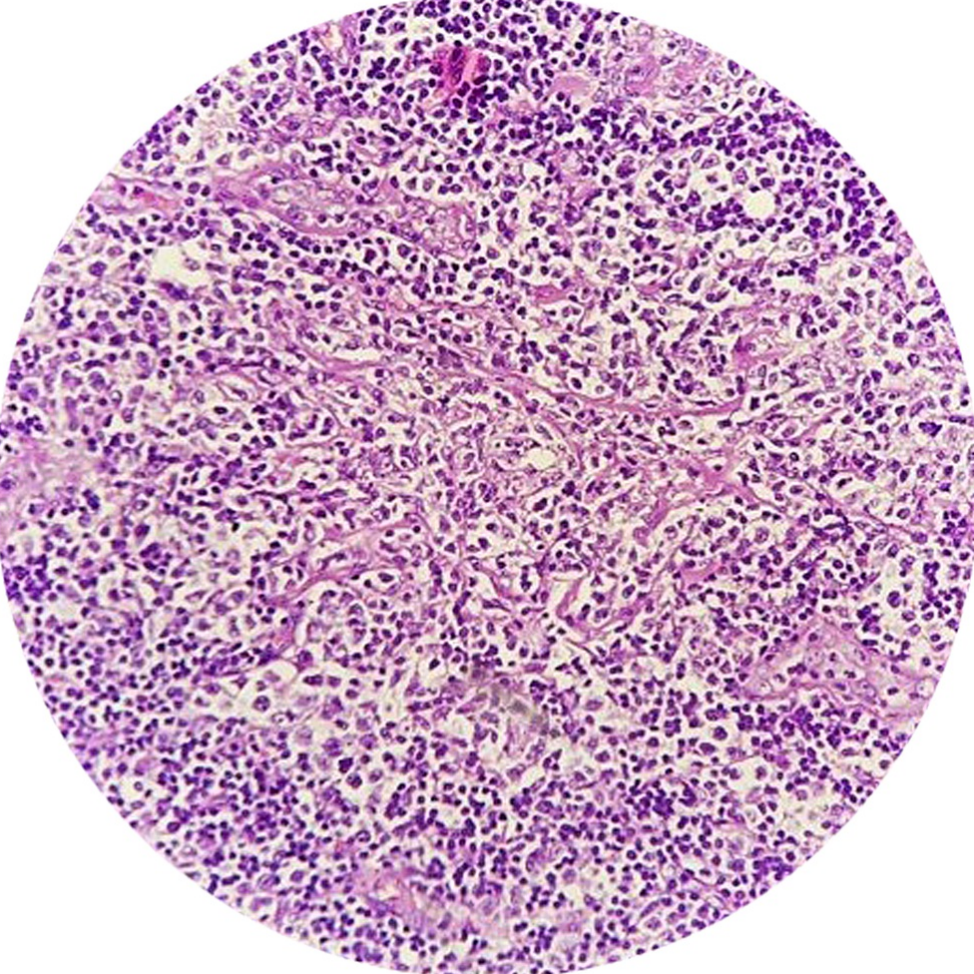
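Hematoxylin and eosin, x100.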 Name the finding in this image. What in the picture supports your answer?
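The field is filled with sheets of densely packed small round cells with dark purple nuclei. No follicles or other organized structures interrupt the sheets of cells. Thin pink fibrous strands run between the cells without separating them into discrete nodules. The answer: diffuse proliferation of lymphoid cells.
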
